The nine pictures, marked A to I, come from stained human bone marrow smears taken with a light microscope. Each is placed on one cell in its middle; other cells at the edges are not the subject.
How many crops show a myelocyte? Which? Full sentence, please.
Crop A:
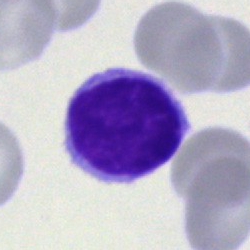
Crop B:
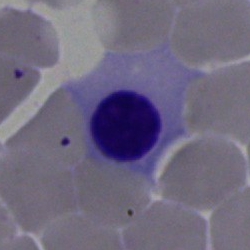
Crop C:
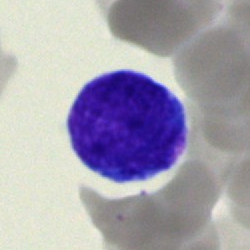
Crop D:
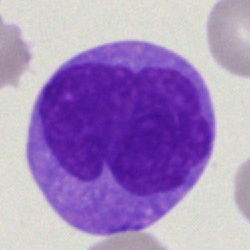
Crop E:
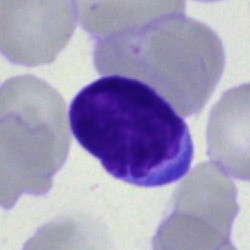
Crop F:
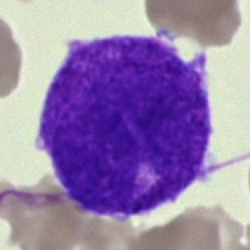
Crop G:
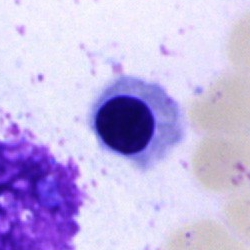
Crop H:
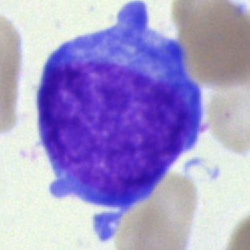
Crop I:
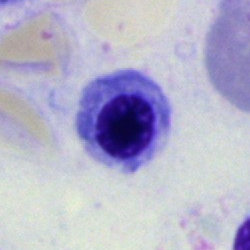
Every one of the crops is without myelocytes, so the count is zero.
